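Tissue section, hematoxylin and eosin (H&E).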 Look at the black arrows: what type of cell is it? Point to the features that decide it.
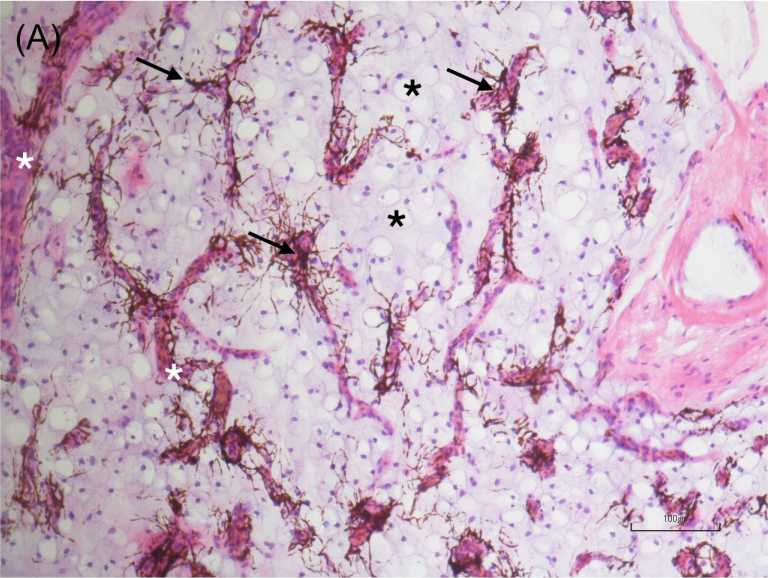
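Dark brown-black pigmented cells with many branching processes. They cluster along pink cords of cells running through the pale tissue. So: chromatophores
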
